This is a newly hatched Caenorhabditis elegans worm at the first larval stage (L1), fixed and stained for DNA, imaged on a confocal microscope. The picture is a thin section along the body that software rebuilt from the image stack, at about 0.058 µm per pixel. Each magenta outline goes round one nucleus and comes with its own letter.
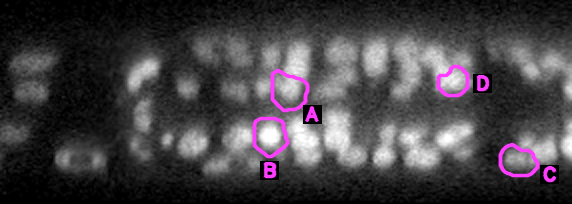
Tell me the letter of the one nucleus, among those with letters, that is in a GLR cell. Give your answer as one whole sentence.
The nucleus of a GLR cell is D.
